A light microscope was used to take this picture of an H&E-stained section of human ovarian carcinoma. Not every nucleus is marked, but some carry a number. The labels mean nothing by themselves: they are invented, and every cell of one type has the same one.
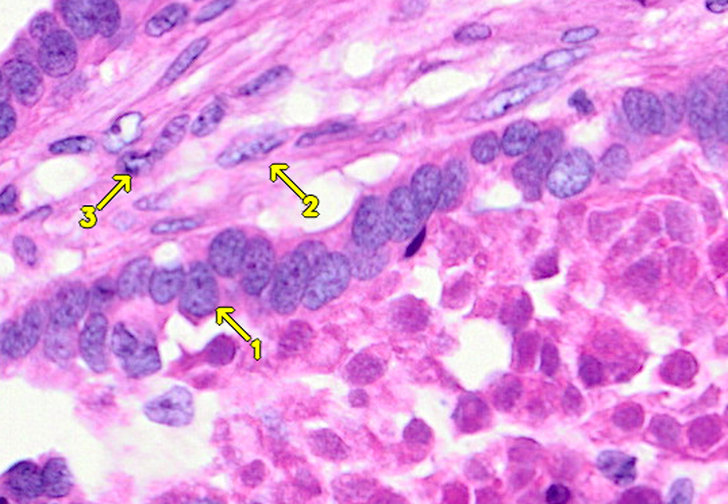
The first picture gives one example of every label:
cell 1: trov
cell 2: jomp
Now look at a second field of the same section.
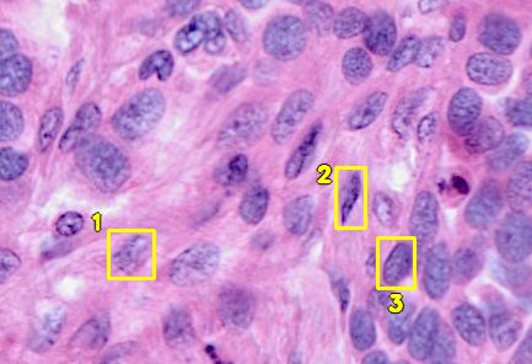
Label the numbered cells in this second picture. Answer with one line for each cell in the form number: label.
1: jomp
2: jomp
3: trov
